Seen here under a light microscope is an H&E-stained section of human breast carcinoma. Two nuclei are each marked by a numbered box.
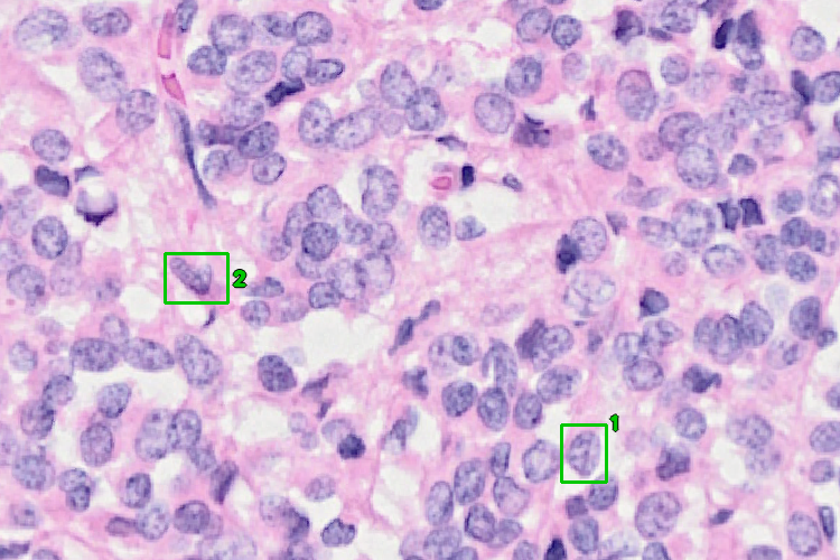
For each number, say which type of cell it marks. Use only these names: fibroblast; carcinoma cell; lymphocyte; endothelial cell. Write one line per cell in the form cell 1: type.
cell 1: carcinoma cell
cell 2: endothelial cell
